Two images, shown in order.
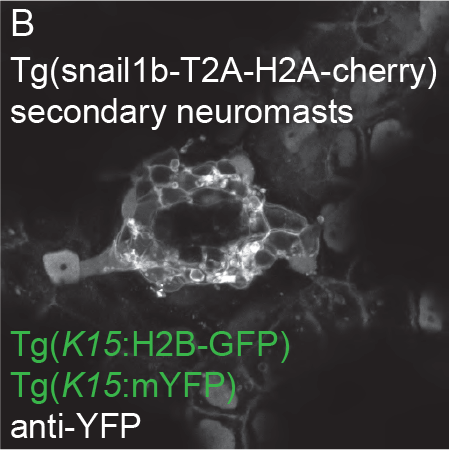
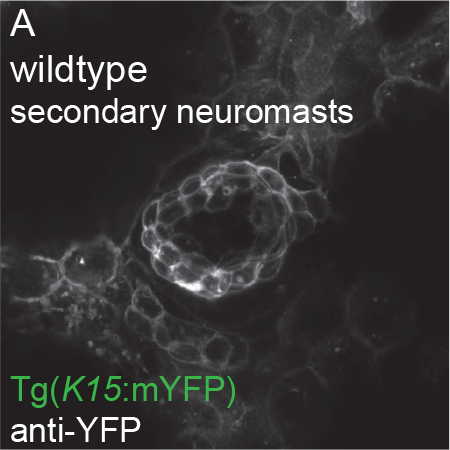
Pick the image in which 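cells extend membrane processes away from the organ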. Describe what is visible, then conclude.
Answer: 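The first image. First image: labelled membranes spread irregularly around the organ, with a cell reaching out to the left. Second image: the labelled membranes form a compact, smooth ring.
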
